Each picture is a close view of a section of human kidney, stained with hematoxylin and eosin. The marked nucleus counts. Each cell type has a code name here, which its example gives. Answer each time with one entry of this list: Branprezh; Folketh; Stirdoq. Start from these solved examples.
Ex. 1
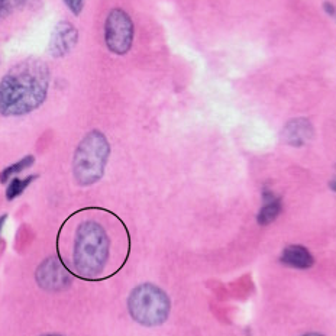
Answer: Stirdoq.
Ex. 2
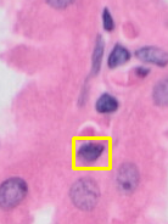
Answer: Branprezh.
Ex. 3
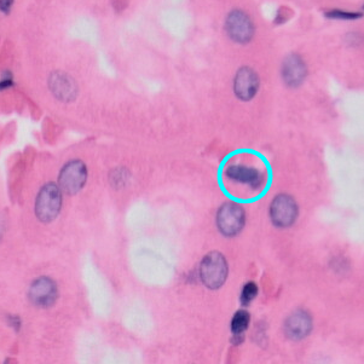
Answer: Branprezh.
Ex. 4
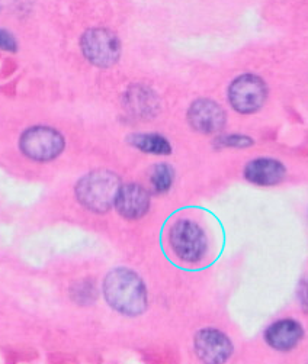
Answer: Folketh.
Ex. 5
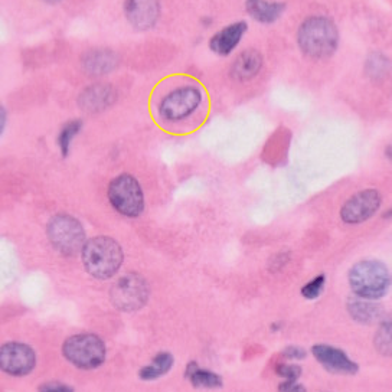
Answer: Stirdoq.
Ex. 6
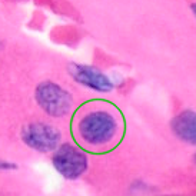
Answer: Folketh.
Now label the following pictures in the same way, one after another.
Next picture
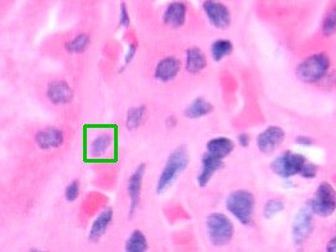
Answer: Branprezh.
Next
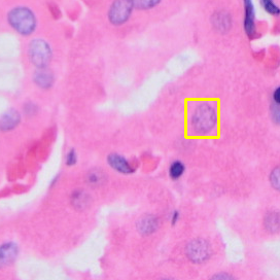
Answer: Stirdoq.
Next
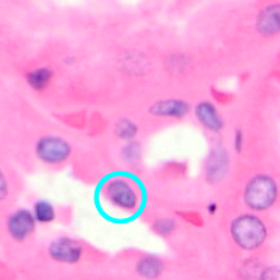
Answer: Folketh.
